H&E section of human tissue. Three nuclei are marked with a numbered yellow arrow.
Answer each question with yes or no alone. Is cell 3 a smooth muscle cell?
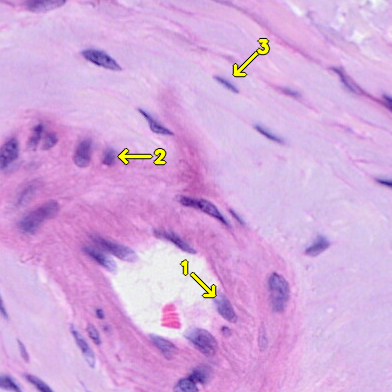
no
